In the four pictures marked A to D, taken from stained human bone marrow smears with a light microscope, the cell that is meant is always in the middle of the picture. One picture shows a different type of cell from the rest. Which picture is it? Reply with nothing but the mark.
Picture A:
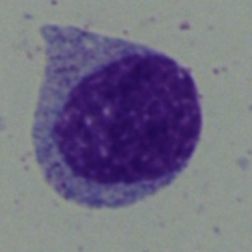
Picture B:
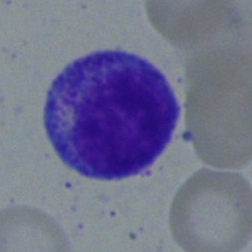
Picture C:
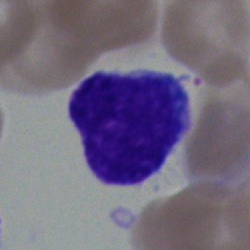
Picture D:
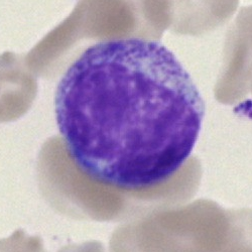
C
